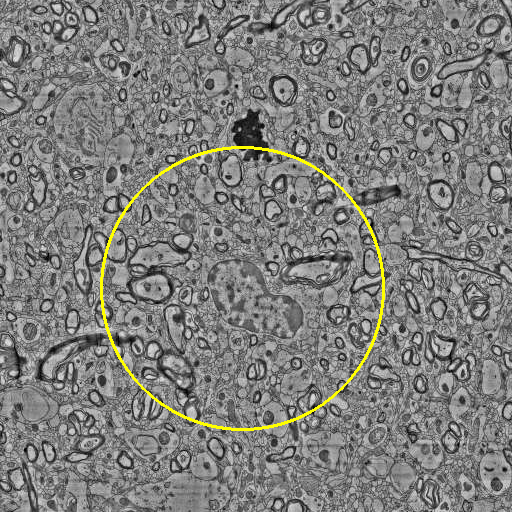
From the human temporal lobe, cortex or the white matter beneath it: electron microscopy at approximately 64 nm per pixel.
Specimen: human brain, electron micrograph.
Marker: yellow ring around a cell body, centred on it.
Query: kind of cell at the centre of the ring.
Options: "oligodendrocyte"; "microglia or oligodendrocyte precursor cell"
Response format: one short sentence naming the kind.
This cell body belongs to a microglial cell or oligodendrocyte precursor cell.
